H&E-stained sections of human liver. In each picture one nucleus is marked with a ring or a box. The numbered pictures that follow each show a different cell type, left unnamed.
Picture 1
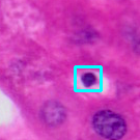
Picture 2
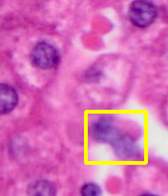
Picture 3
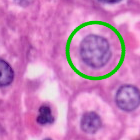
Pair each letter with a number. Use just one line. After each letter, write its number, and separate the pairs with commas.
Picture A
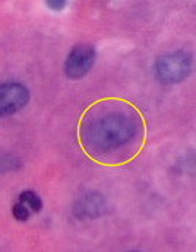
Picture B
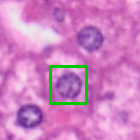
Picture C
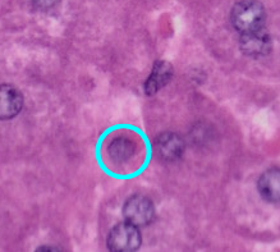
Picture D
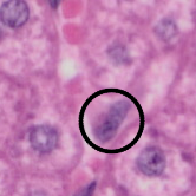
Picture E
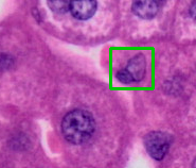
A 3, B 3, C 2, D 2, E 2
